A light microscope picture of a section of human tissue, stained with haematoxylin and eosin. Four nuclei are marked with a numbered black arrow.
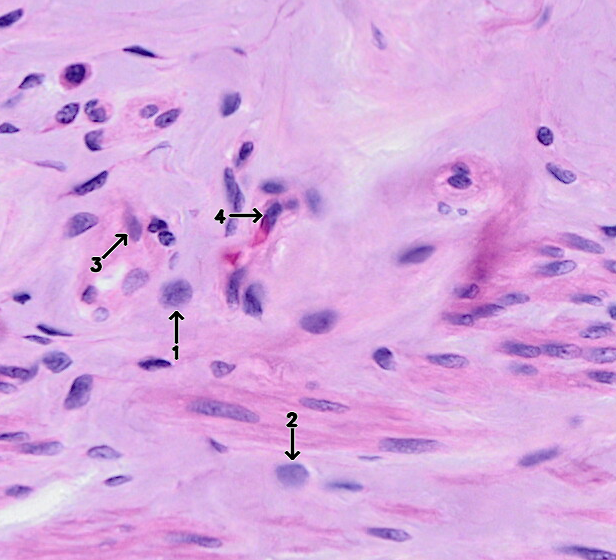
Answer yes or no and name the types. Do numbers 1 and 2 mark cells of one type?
Yes, cell 1 is one of the fibroblasts, and so is cell 2.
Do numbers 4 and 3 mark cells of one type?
Yes, both cell 4 and cell 3 are endothelial cells.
